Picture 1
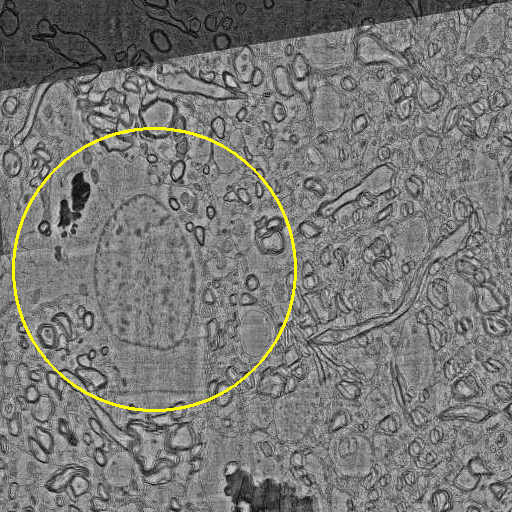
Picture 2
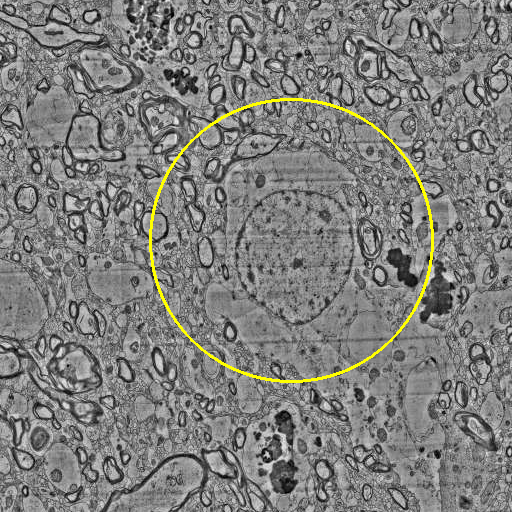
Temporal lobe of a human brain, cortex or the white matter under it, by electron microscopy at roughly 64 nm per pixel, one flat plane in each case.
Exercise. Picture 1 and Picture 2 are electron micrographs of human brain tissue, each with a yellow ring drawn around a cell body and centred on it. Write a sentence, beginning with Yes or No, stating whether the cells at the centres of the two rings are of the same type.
Yes, the cells at the centres of both rings are of the same type.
